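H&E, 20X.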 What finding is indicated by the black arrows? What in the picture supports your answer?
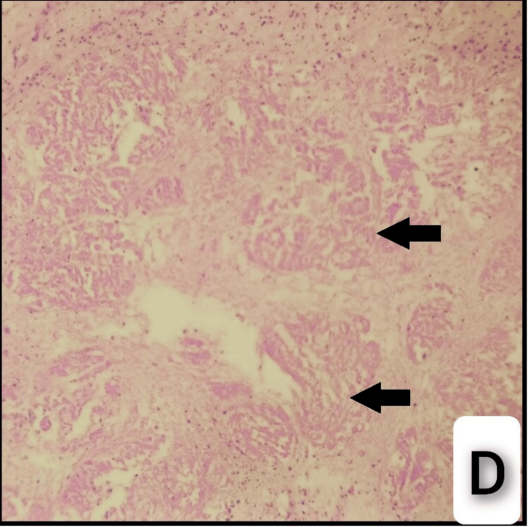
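Necrotic areas. Large pale pink areas with few nuclei. Cellular areas with dark nuclei border the pale zones.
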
